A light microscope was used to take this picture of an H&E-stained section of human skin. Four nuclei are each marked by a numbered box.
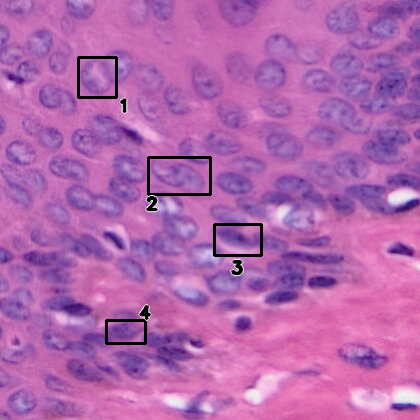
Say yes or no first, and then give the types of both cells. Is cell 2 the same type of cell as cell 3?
No, hold on, cell 2 is a suprabasal keratinocyte and cell 3 is a basal keratinocyte.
